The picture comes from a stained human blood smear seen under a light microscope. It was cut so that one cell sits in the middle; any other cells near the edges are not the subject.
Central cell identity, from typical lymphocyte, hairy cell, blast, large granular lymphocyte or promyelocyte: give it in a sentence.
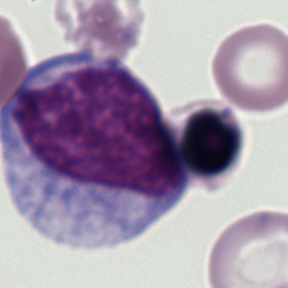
What the crop centres on is a promyelocyte.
